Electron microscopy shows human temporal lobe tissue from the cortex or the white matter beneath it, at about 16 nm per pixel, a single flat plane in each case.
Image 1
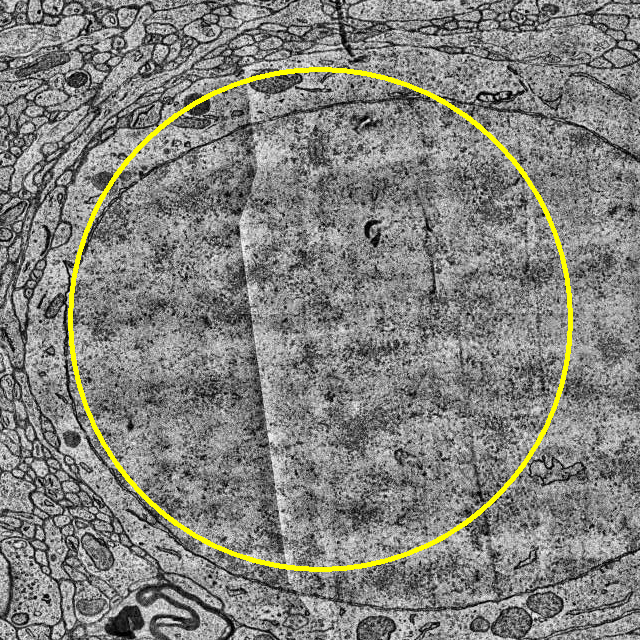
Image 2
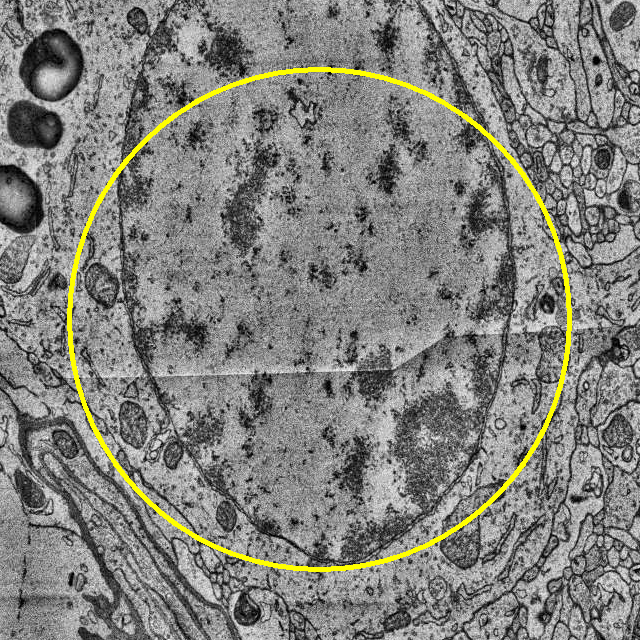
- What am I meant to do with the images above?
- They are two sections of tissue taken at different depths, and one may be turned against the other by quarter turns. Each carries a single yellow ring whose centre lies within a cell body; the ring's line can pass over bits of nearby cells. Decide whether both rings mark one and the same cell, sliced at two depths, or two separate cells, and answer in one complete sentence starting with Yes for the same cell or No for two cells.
No, the two yellow rings surround two different cells.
